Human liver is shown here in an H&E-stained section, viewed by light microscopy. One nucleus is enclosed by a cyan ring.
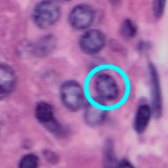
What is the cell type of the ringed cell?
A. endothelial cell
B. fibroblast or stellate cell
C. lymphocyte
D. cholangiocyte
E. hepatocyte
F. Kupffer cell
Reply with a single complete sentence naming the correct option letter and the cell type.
The proper choice here is D: the ringed cell is a cholangiocyte.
